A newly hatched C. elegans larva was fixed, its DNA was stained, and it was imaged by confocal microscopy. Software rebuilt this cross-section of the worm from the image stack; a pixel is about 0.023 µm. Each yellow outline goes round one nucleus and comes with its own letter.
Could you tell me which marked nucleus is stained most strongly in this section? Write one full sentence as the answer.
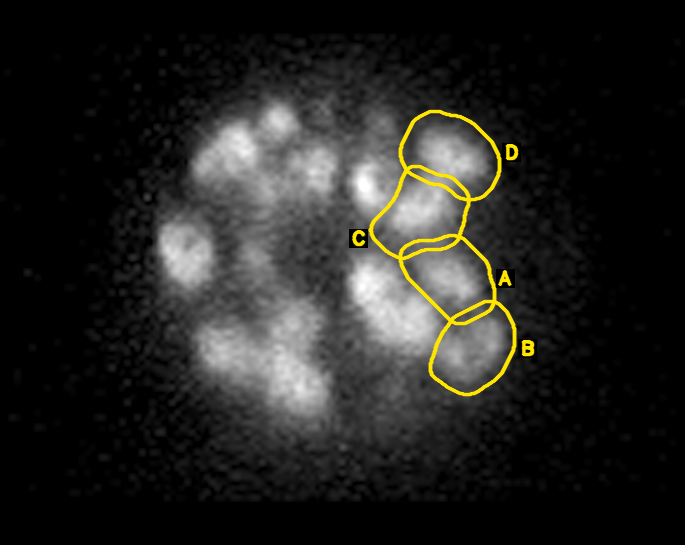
Of the marked nuclei, C takes up the stain most strongly.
